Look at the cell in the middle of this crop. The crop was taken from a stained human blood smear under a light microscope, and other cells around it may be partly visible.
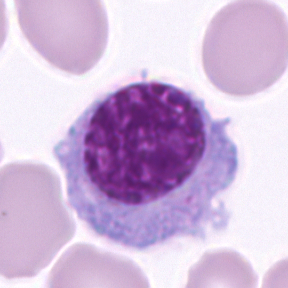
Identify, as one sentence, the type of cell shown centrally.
The cell in the middle of the field of view is a plasma cell.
